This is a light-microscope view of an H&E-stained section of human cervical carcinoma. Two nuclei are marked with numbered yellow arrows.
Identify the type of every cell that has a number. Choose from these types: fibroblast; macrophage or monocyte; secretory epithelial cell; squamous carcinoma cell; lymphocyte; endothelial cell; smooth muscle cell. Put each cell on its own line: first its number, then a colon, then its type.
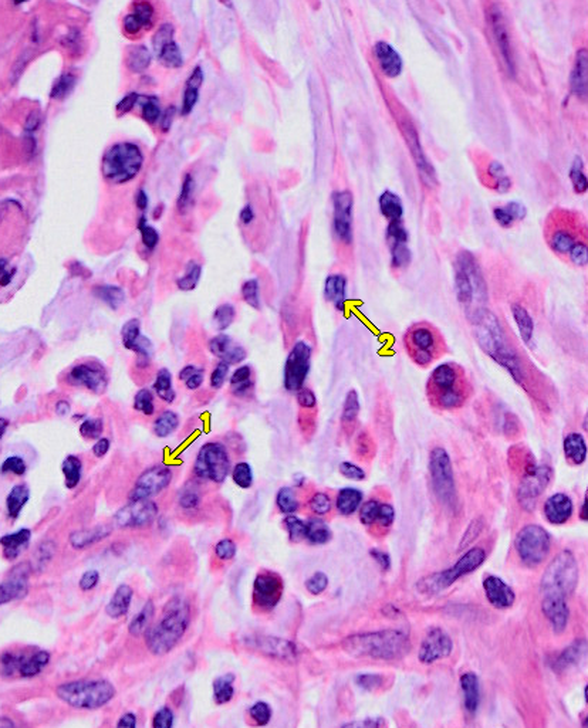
1: endothelial cell
2: lymphocyte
